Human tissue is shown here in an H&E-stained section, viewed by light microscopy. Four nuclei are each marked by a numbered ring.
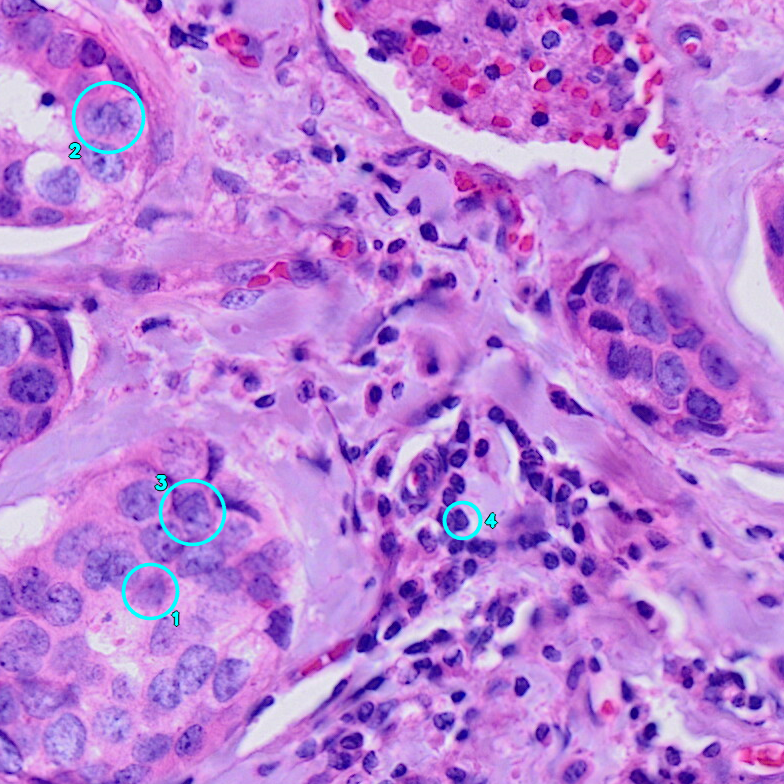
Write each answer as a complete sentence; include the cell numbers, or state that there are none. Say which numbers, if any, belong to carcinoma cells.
The cells marked 1, 2 and 3 in the section are carcinoma cells.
